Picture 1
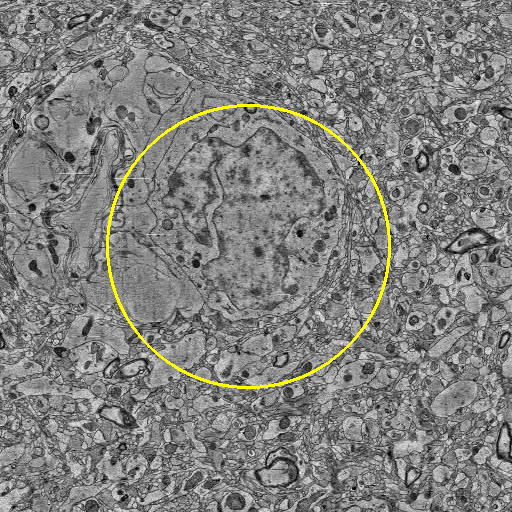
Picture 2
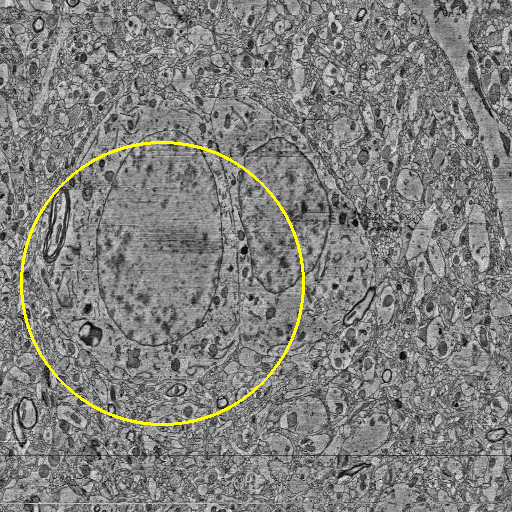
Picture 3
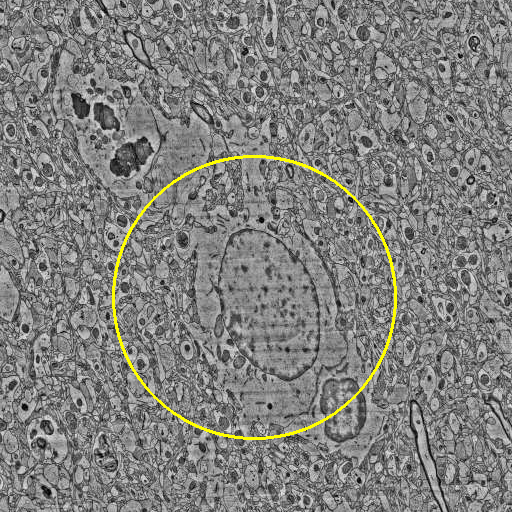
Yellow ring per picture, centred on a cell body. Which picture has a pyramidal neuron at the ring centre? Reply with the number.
2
